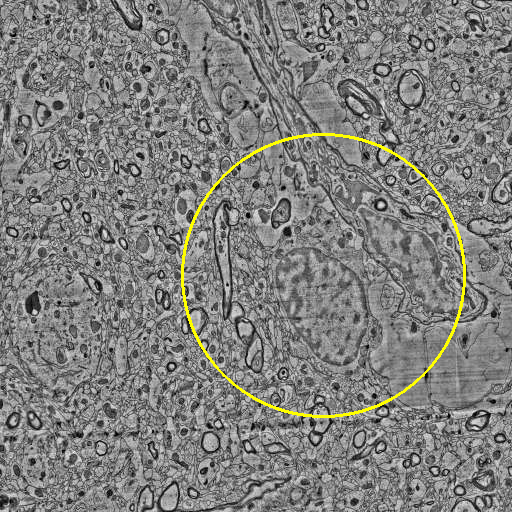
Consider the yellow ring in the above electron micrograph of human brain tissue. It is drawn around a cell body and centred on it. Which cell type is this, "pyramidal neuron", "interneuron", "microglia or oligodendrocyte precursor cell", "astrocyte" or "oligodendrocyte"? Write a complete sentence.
The cell in question is an oligodendrocyte.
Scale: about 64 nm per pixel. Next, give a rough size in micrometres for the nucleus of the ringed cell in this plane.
At approximately 8 by 5 micrometres, the nucleus is clearly longer than it is wide in this plane.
